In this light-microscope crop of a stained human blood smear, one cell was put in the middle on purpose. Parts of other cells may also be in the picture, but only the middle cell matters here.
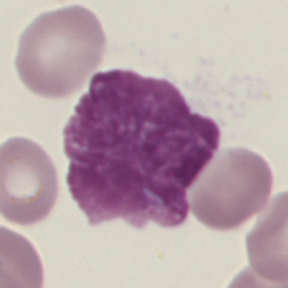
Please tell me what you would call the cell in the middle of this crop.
smudge cell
